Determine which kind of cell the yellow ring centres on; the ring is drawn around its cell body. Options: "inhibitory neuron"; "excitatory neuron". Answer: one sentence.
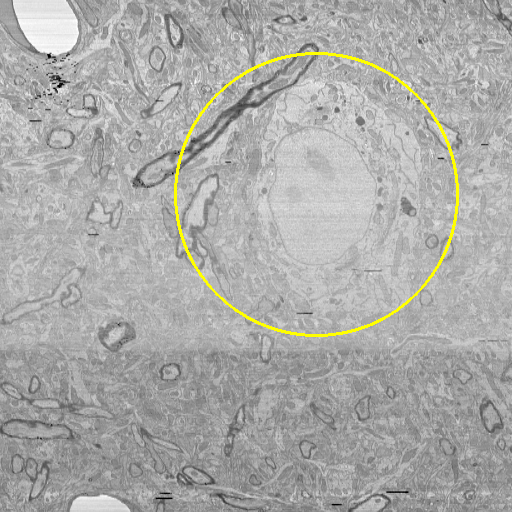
The ring centres on an excitatory neuron.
